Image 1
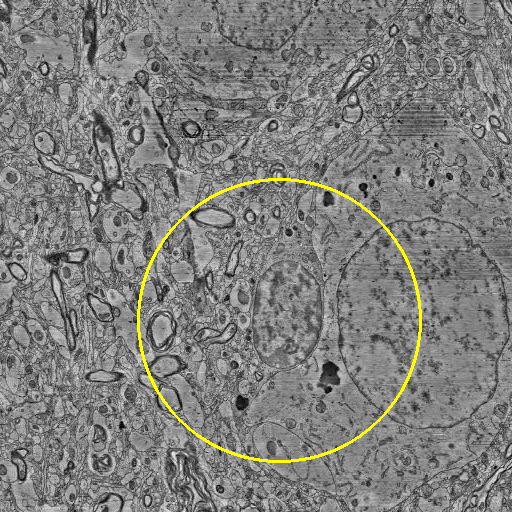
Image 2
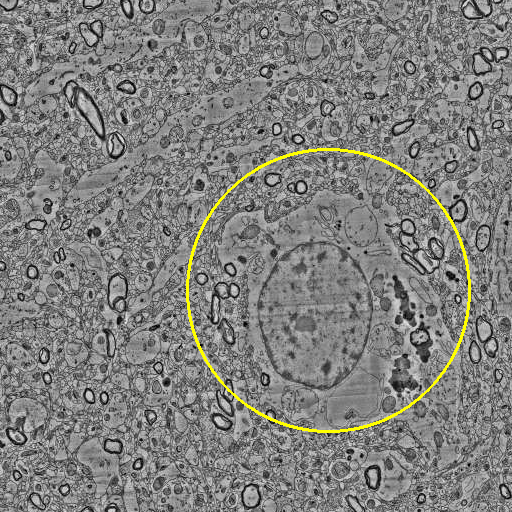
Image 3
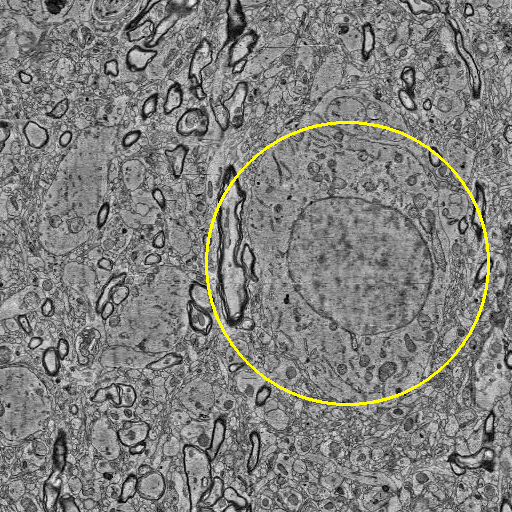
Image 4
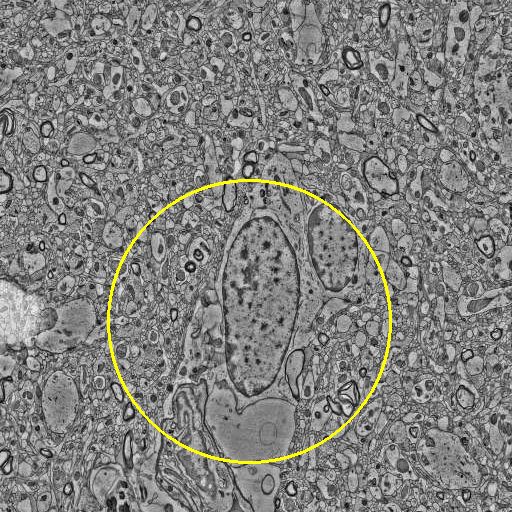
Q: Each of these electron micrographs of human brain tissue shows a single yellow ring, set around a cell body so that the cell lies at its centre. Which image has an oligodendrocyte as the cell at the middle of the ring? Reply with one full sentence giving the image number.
In image 1, the cell lying at the ring's centre is the requested one.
